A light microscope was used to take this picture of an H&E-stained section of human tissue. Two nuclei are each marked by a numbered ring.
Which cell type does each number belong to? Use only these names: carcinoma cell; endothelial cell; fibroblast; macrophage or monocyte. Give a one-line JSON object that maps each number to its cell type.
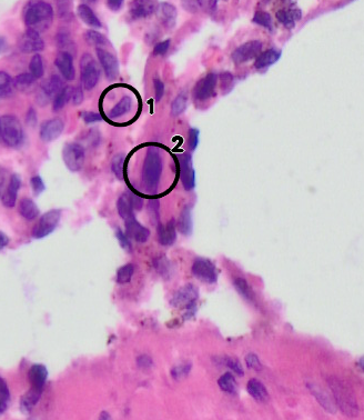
{"1": "macrophage or monocyte", "2": "endothelial cell"}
